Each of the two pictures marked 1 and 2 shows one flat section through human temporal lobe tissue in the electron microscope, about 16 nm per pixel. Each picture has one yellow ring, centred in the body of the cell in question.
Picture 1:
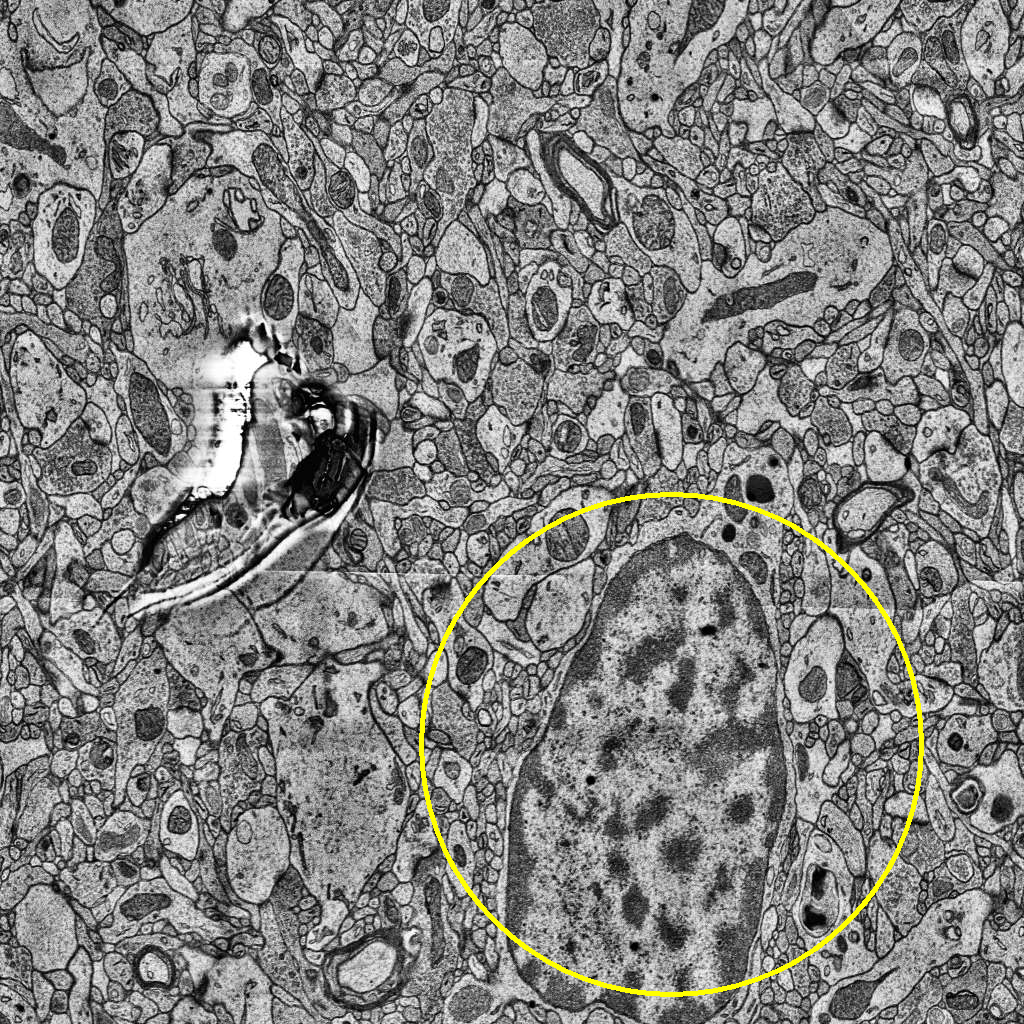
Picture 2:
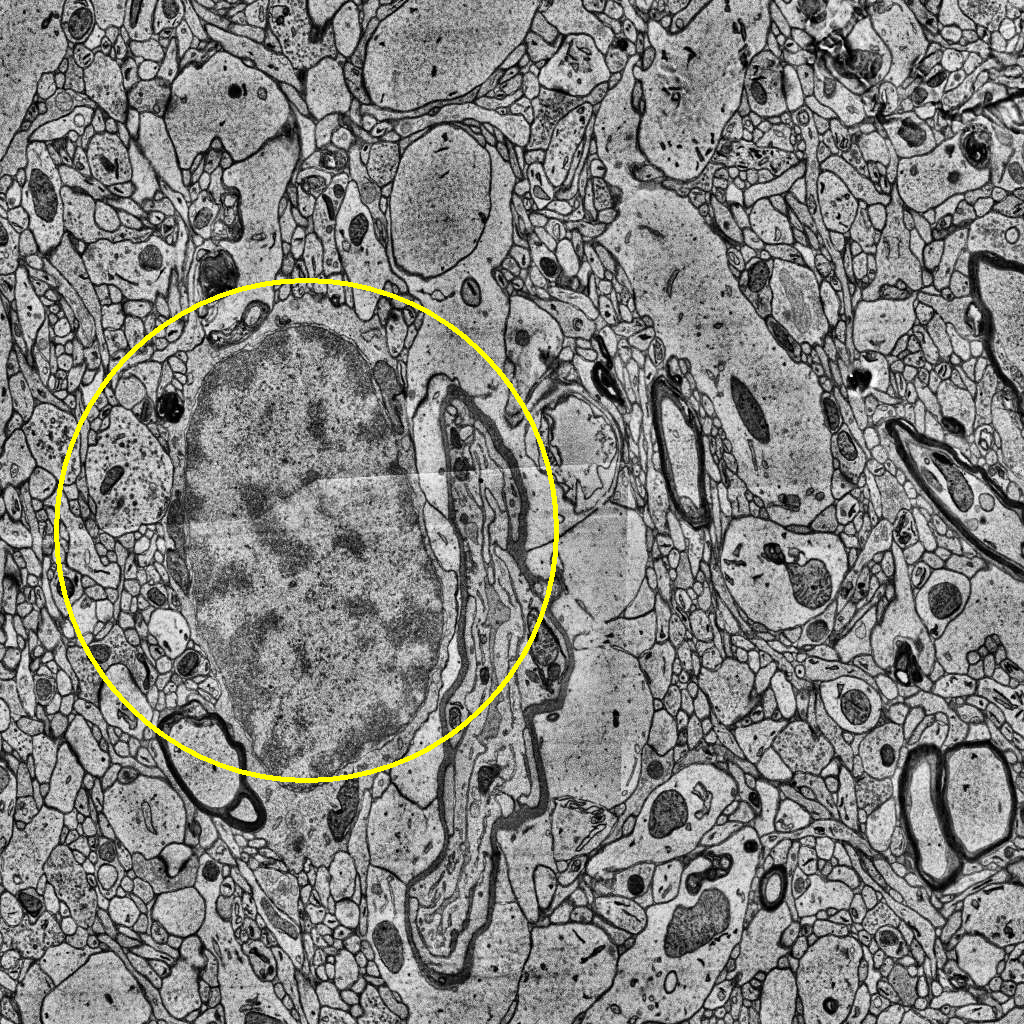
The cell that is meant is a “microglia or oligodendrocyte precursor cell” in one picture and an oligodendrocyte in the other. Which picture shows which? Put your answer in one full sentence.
It is picture 1 that shows a “microglia or oligodendrocyte precursor cell”, and picture 2 that shows an oligodendrocyte.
